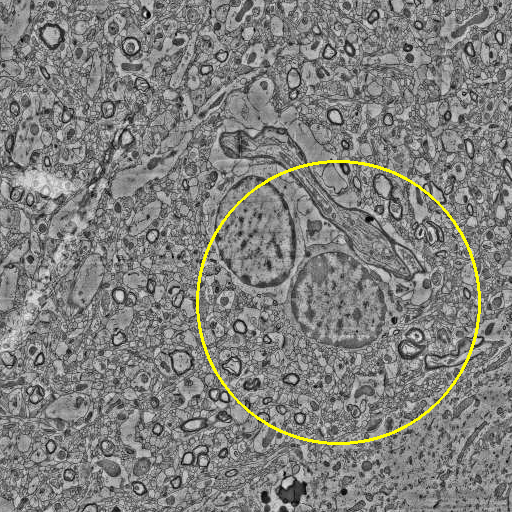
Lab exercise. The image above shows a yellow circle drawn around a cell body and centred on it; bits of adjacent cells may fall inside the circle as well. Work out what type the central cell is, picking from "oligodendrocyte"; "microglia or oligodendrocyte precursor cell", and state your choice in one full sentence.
In the image above, the cell at the centre of the yellow circle is an oligodendrocyte.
